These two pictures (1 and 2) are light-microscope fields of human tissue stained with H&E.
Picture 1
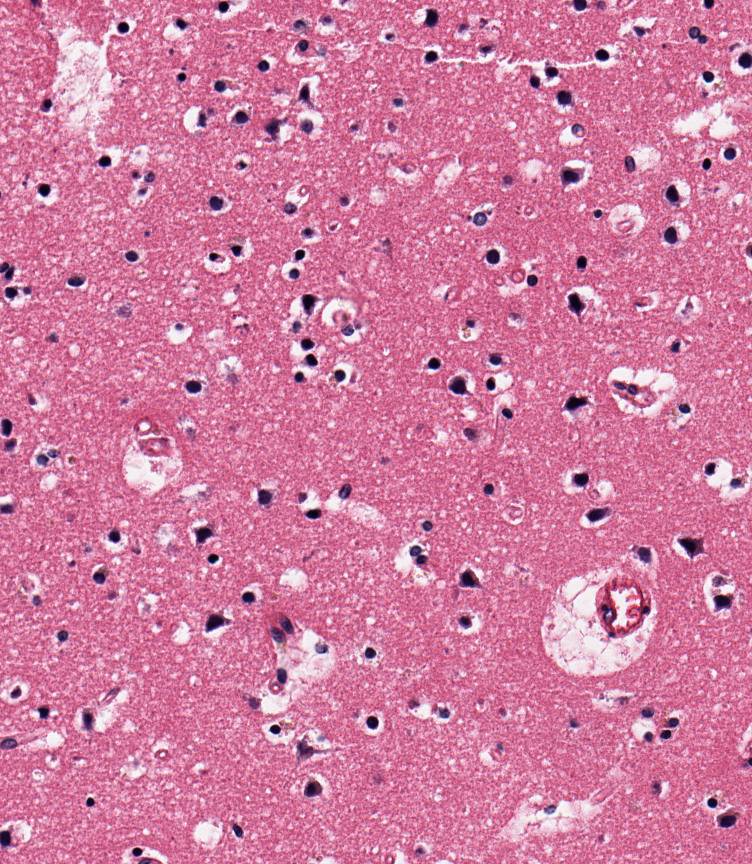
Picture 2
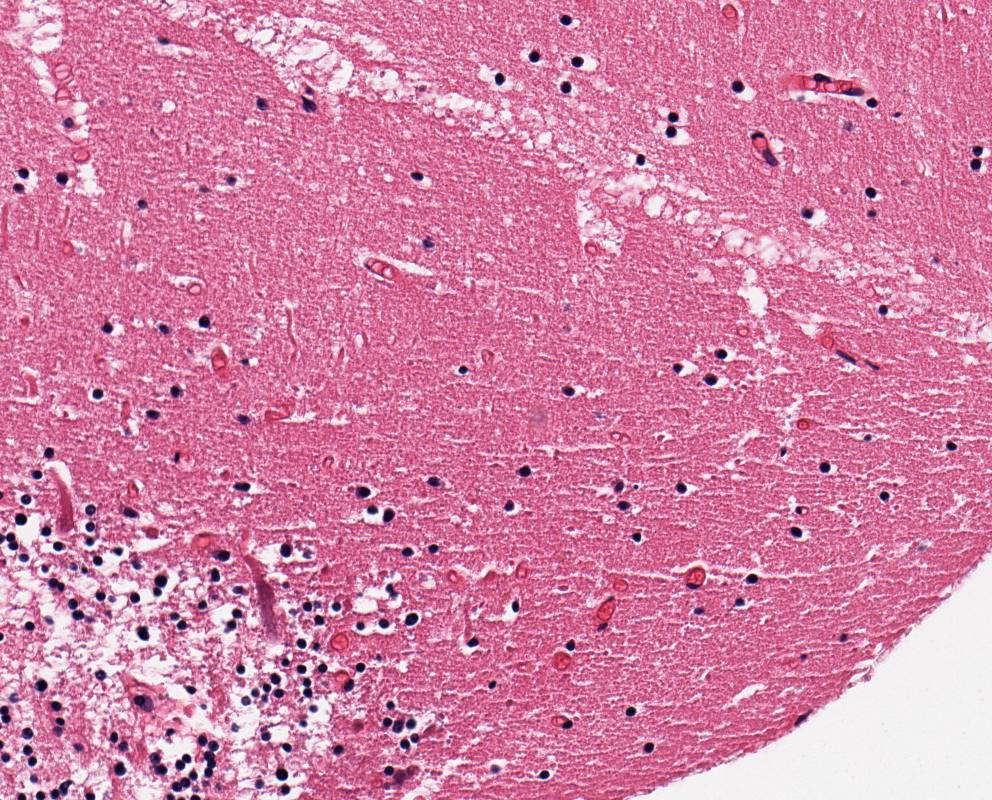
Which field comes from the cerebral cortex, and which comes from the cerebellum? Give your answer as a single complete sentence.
Picture 1 comes from the cerebral cortex and picture 2 comes from the cerebellum.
